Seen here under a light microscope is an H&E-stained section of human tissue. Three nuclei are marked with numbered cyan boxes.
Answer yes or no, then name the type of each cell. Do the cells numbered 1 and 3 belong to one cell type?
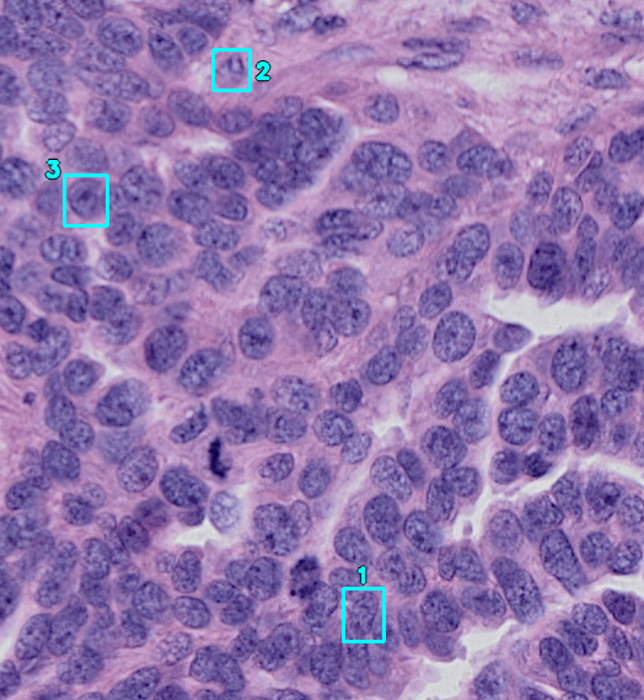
Yes, for cells 1 and 3 alike, the identity is that of carcinoma cells.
